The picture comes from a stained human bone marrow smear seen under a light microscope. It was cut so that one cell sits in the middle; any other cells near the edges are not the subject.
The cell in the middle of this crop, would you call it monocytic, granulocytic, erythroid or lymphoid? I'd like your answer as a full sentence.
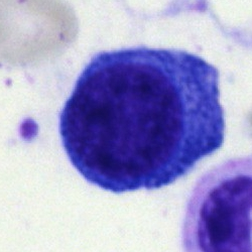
The cell in the middle comes from the erythroid lineage of blood cells.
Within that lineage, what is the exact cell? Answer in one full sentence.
In the middle of this smear crop is a proerythroblast.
